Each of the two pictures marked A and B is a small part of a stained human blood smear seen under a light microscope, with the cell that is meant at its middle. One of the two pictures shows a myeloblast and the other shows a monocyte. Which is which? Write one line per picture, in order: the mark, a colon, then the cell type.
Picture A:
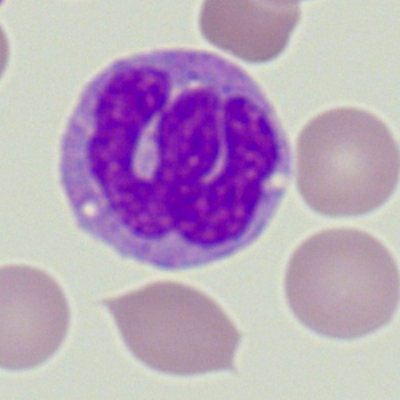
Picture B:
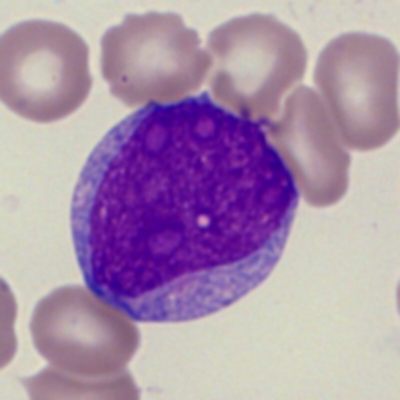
A: monocyte
B: myeloblast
